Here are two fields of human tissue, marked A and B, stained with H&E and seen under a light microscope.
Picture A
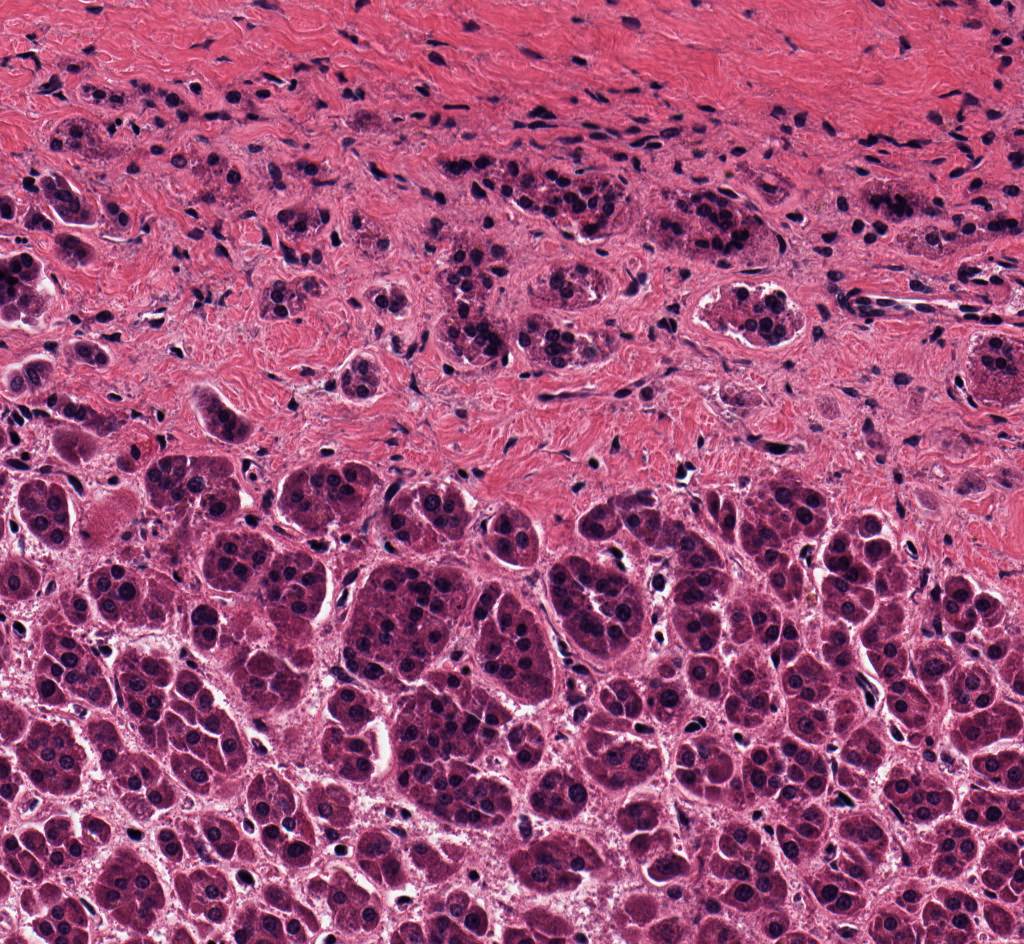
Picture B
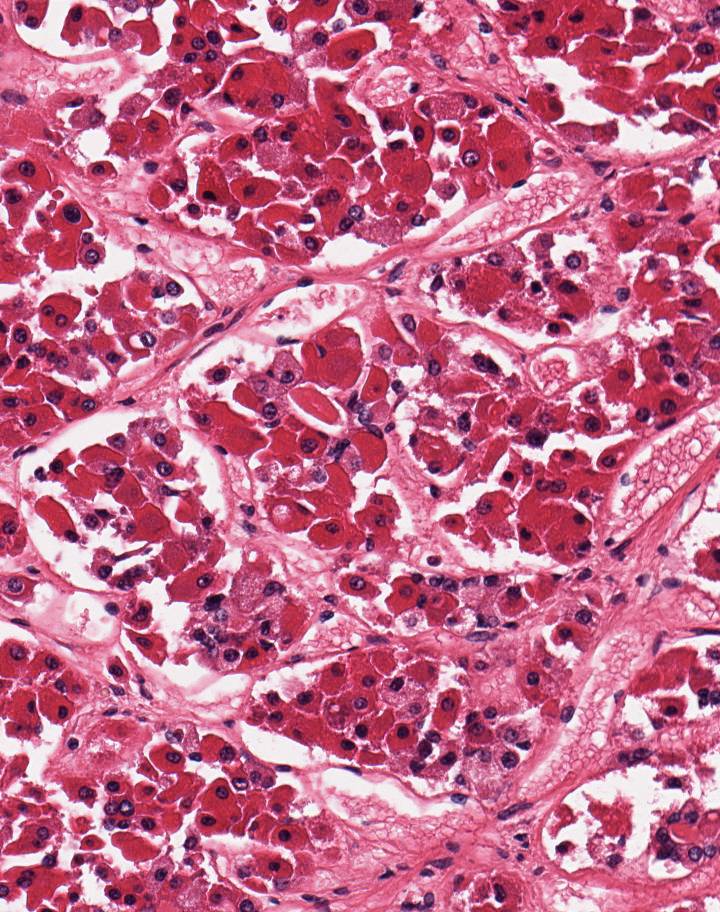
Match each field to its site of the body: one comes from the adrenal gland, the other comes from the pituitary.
A: adrenal gland
B: pituitary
